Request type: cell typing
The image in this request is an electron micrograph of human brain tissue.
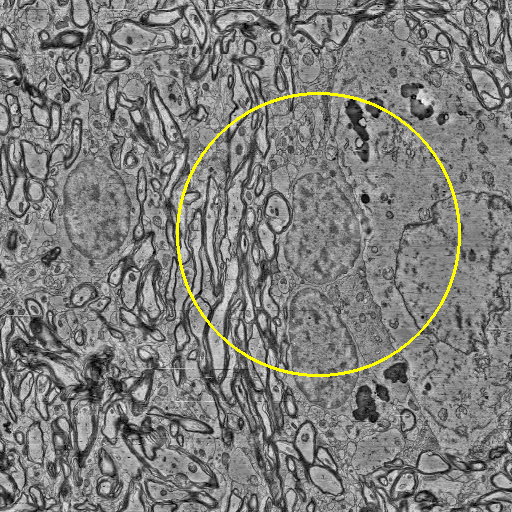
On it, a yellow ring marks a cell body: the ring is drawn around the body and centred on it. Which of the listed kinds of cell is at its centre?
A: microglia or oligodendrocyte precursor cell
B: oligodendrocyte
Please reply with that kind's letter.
B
